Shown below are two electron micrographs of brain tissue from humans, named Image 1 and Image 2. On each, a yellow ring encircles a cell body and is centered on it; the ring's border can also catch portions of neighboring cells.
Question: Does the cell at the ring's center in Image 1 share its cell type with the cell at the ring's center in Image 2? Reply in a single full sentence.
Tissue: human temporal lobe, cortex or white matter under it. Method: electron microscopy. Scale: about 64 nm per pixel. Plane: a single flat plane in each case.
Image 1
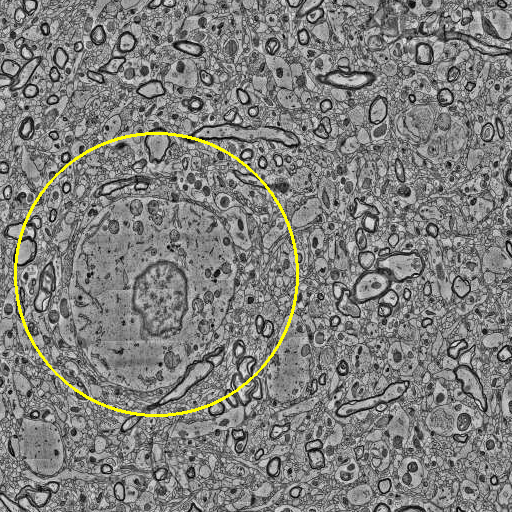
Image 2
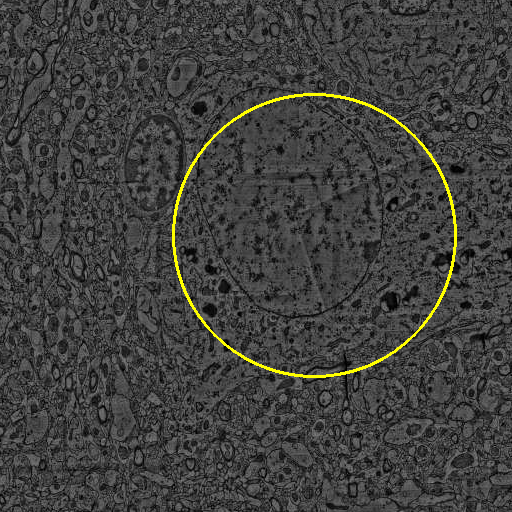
Yes, the two cells at the ring centers, in Image 1 and Image 2, share one cell type.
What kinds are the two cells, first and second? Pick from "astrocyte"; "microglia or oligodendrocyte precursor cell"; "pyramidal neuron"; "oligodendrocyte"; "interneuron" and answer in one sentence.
The ring centre holds a pyramidal neuron in each of the two pictures.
